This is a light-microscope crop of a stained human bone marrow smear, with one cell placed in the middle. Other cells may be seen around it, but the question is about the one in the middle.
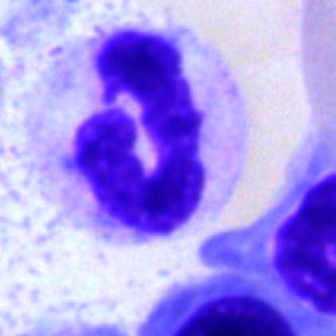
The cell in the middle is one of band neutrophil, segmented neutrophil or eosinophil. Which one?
segmented neutrophil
